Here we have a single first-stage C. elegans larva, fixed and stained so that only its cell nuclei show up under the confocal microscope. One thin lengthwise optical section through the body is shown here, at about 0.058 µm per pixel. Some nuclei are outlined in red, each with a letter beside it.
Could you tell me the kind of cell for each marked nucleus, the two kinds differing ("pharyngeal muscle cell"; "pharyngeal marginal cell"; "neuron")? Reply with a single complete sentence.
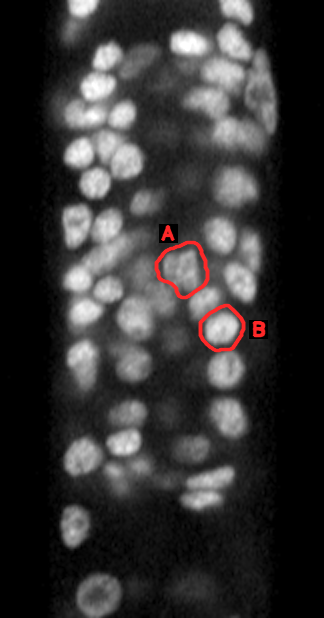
The nucleus A is that of a pharyngeal marginal cell, while B is that of a neuron.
